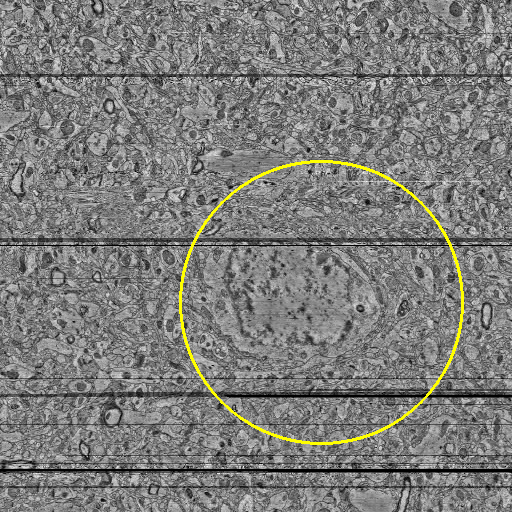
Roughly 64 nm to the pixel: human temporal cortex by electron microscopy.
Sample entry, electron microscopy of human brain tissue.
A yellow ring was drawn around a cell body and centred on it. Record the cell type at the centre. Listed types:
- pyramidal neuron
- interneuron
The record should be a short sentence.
The cell at the ring's centre is an interneuron.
